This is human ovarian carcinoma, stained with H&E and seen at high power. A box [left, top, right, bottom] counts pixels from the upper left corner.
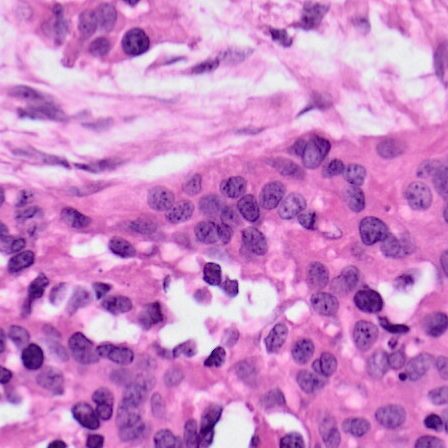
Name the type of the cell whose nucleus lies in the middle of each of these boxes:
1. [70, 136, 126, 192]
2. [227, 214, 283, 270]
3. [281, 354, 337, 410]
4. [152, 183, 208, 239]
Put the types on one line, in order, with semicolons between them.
fibroblast; carcinoma cell; carcinoma cell; carcinoma cell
